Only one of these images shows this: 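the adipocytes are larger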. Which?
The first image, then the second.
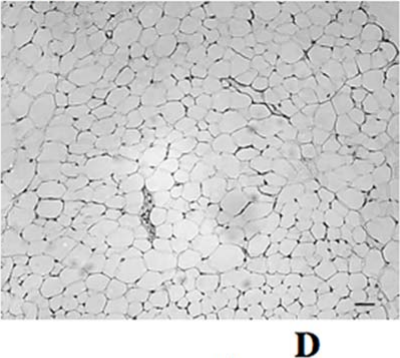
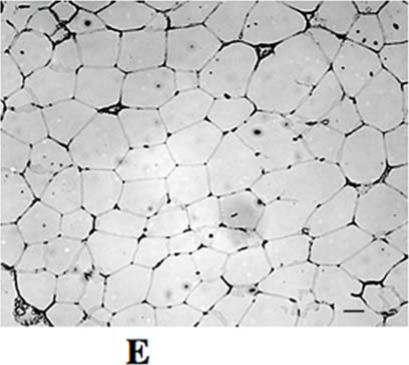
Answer: The second image.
